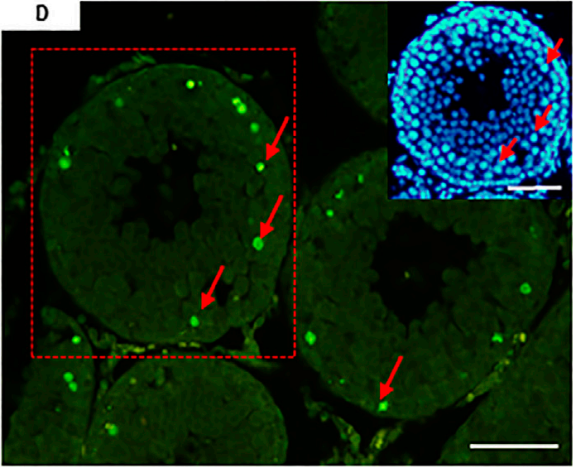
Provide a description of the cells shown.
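Cross-sections of large seminiferous tubules with a thick, many-layered germ epithelium surrounding a central lumen are seen under dull green background fluorescence. Scattered within the epithelium are numerous small, very bright green round bodies, a few of them lying in the layers between the basal edge and the lumen. The blue inset of nuclei shows the densely packed rows of germ cells in which these bright cells sit.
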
